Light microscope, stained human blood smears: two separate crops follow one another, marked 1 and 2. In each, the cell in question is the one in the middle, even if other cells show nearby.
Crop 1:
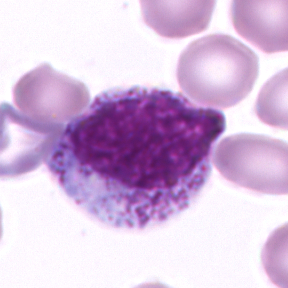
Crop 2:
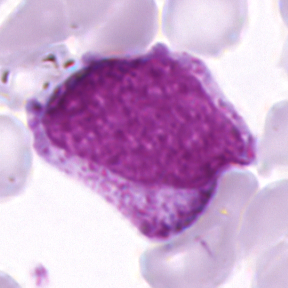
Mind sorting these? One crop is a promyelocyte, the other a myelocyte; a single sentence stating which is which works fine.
The cell that crop 1 centres on is a myelocyte, and the cell that crop 2 centres on is a promyelocyte.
